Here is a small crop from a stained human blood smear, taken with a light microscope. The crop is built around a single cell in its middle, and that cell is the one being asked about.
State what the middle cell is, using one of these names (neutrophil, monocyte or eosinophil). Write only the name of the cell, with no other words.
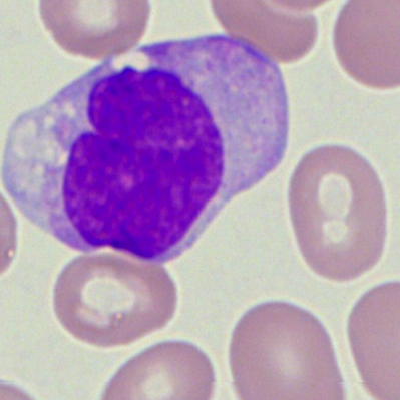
monocyte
